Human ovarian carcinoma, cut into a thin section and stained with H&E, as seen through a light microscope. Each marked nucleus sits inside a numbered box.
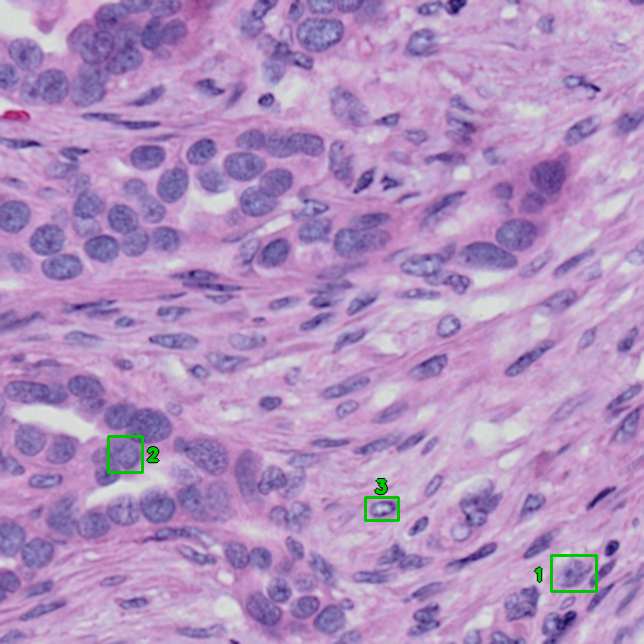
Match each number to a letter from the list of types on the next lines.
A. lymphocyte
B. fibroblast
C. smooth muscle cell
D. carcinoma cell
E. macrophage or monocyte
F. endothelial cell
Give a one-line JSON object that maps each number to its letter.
{"1": "B", "2": "D", "3": "B"}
